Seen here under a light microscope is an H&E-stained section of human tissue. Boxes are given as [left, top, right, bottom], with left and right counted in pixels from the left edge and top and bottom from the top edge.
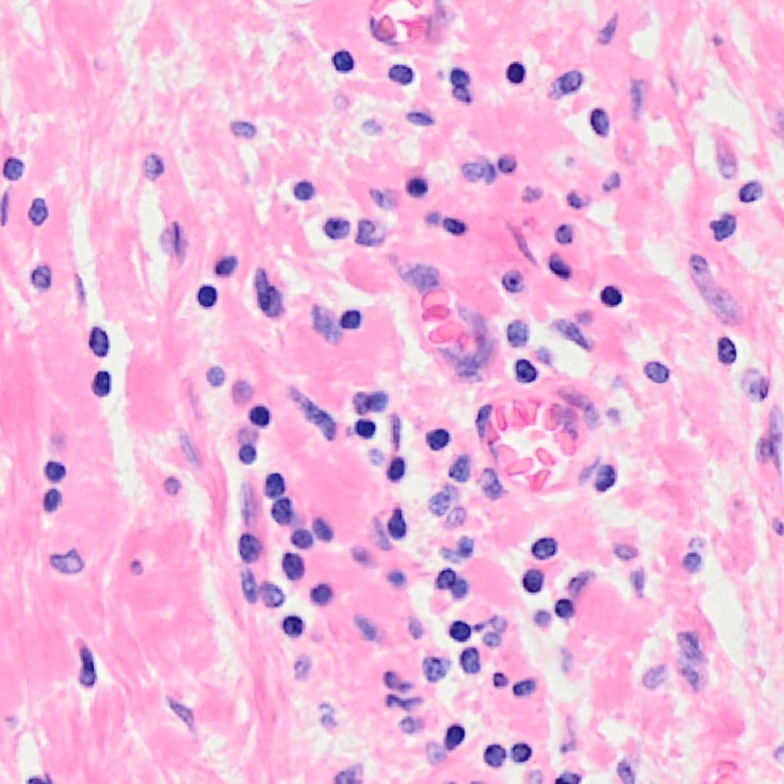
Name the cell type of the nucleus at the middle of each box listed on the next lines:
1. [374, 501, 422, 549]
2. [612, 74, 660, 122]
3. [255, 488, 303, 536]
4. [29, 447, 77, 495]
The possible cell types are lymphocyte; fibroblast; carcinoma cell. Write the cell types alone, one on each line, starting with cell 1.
lymphocyte
fibroblast
lymphocyte
lymphocyte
